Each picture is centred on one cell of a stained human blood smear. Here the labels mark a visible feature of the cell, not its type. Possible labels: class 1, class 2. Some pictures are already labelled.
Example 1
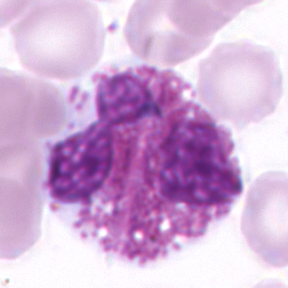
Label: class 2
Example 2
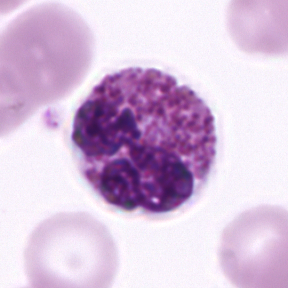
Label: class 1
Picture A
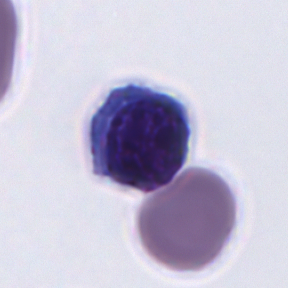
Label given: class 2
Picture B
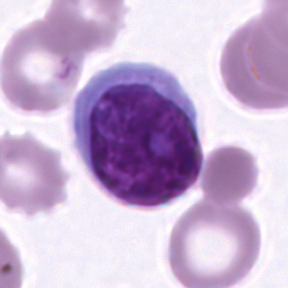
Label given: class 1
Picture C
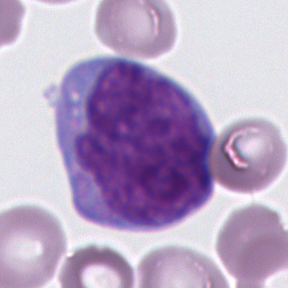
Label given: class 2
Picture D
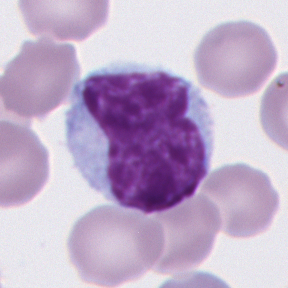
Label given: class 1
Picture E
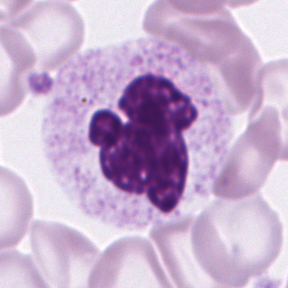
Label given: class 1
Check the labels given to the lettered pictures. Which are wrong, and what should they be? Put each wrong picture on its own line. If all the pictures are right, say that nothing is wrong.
A: class 1, not class 2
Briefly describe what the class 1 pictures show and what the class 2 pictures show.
Seen in class 1: no vacuoles; seen in class 2: vacuoles present.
